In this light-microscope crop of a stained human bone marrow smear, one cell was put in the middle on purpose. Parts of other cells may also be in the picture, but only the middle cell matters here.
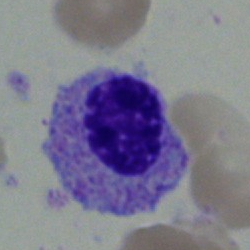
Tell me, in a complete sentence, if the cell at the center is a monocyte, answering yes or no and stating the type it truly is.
No, the central cell in this crop is a myelocyte and not a monocyte.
